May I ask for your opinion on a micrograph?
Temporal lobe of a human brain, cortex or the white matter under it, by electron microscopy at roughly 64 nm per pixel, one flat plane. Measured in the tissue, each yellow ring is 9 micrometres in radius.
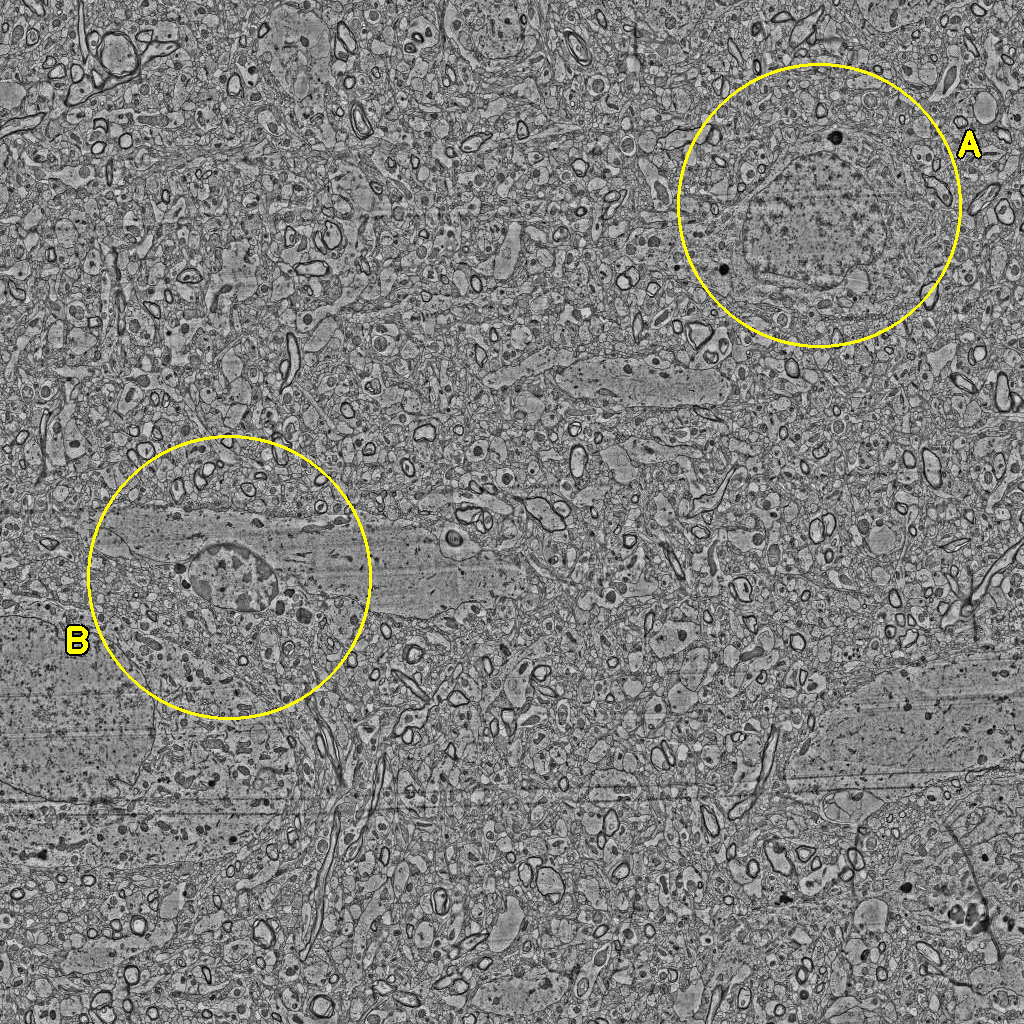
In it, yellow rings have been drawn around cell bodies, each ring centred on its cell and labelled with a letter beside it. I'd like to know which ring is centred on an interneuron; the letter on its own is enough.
A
